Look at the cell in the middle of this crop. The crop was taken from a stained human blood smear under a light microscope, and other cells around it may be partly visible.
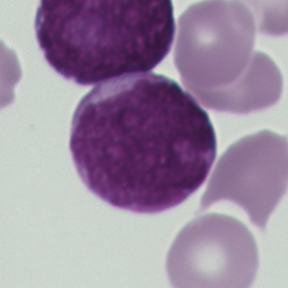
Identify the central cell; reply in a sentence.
Centred in the crop is a myeloblast.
